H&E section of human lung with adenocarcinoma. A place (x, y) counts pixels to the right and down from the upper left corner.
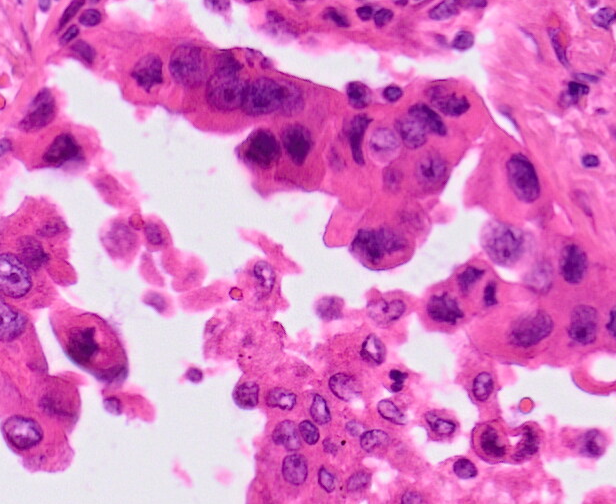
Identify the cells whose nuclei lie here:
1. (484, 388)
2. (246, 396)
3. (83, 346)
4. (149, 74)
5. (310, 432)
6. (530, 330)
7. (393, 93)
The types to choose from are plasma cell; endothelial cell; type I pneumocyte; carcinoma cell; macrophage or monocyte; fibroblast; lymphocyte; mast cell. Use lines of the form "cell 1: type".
cell 1: macrophage or monocyte
cell 2: macrophage or monocyte
cell 3: carcinoma cell
cell 4: carcinoma cell
cell 5: macrophage or monocyte
cell 6: carcinoma cell
cell 7: lymphocyte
